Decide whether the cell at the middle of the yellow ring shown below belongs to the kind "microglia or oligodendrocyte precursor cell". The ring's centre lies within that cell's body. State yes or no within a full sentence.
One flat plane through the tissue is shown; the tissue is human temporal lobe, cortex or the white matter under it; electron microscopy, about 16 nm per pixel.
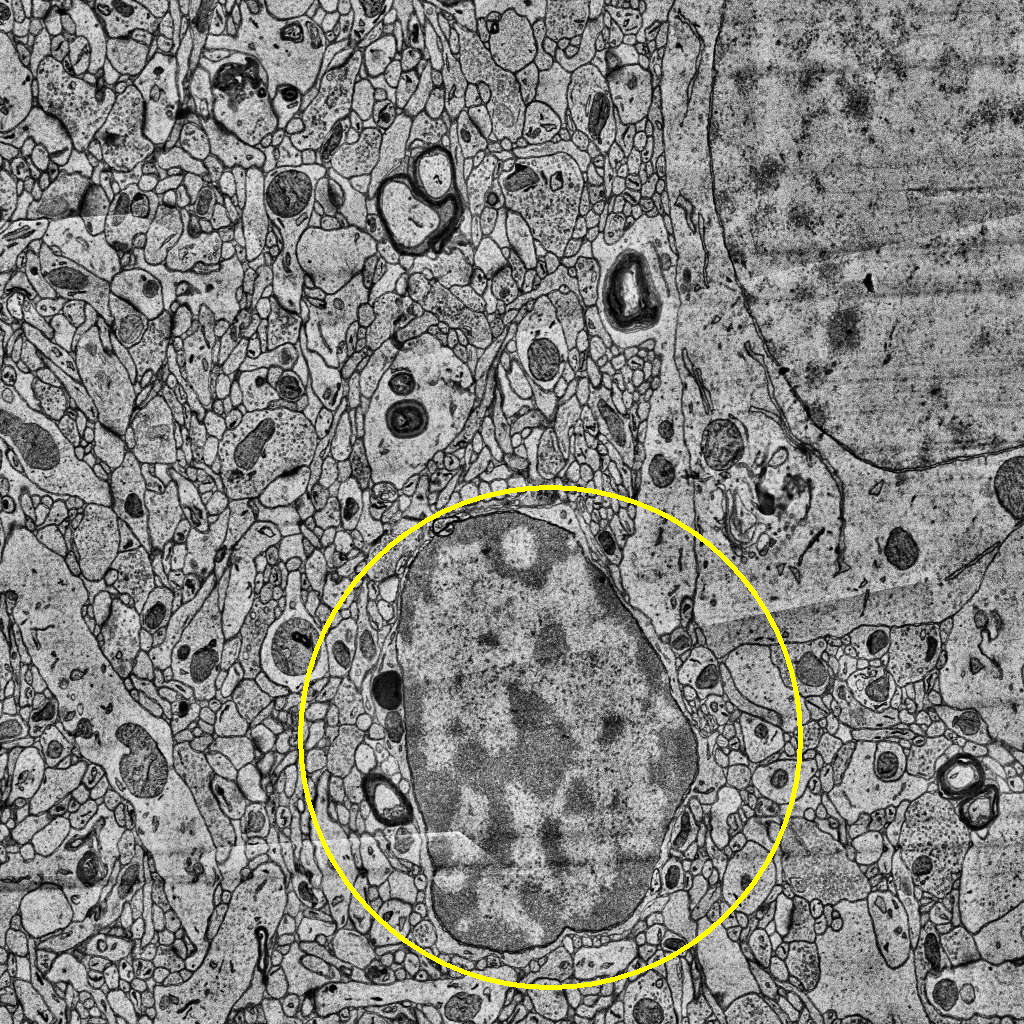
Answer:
Yes, the cell whose body lies at the ring's centre in the picture belongs to that kind.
